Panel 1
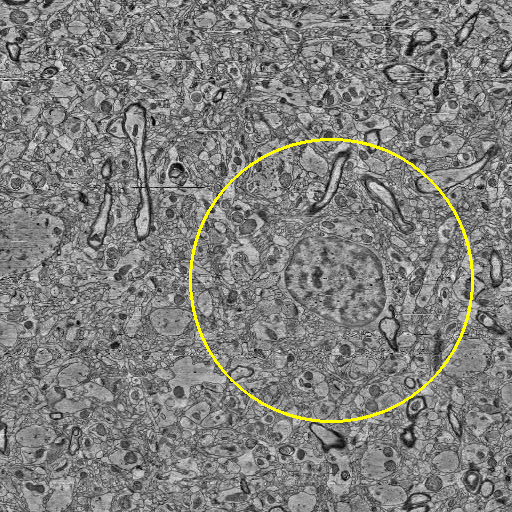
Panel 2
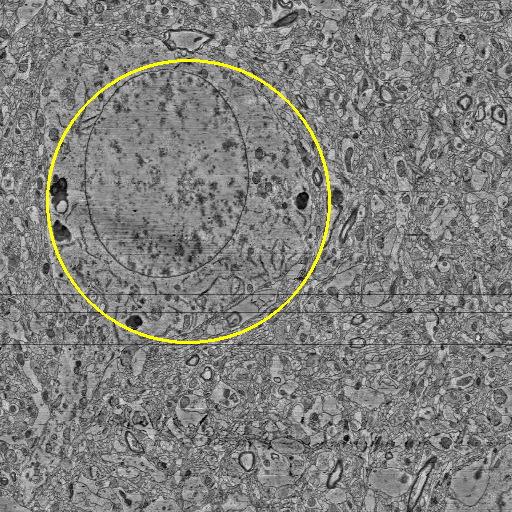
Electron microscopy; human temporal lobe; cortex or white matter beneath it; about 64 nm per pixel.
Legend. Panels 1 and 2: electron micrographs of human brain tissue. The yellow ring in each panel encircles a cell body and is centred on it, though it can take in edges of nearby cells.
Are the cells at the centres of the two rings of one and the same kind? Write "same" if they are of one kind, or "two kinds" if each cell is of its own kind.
two kinds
